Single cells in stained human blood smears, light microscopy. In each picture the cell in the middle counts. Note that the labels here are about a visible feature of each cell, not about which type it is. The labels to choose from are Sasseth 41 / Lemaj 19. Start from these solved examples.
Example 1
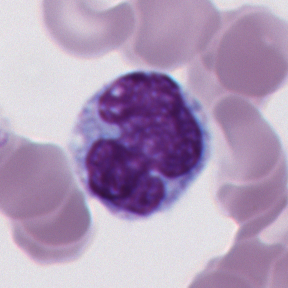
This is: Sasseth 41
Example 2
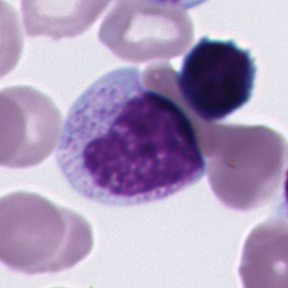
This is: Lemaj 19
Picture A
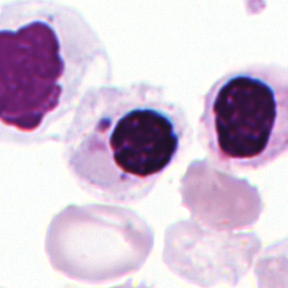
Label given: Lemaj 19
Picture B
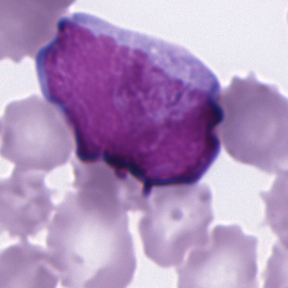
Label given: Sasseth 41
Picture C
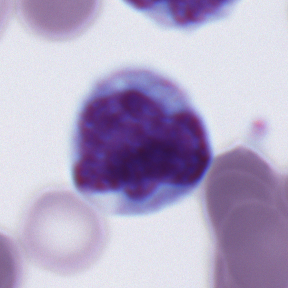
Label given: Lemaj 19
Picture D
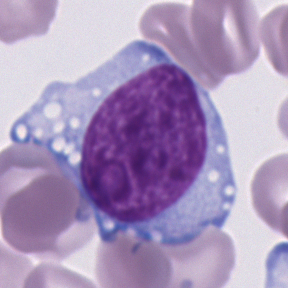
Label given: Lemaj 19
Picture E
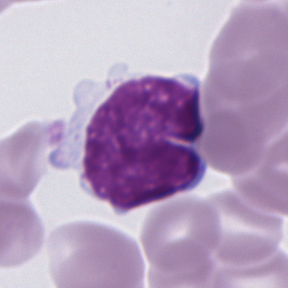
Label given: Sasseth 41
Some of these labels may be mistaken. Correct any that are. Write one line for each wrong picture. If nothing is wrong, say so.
C: Sasseth 41, not Lemaj 19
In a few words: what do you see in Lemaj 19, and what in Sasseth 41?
Lemaj 19, abundant cytoplasm; Sasseth 41, scant cytoplasm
